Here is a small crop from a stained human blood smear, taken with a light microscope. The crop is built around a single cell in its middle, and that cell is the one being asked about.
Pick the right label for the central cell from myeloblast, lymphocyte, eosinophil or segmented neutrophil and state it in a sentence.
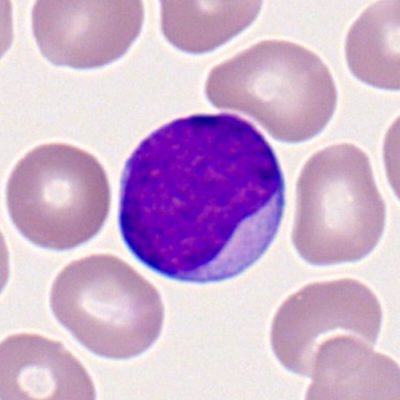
The cell shown in the center of this light-microscope crop is a myeloblast.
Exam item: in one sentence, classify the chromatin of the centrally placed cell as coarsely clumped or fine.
Chromatin in the nucleus here is coarsely clumped.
